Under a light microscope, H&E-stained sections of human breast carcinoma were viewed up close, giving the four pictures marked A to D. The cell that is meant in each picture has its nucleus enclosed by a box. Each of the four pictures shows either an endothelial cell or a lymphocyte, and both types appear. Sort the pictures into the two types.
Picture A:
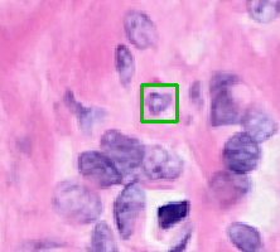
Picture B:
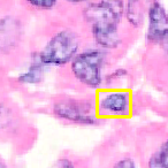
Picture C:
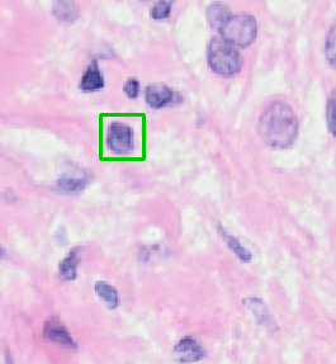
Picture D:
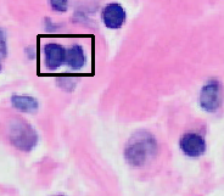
A: endothelial cell
B: endothelial cell
C: lymphocyte
D: lymphocyte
